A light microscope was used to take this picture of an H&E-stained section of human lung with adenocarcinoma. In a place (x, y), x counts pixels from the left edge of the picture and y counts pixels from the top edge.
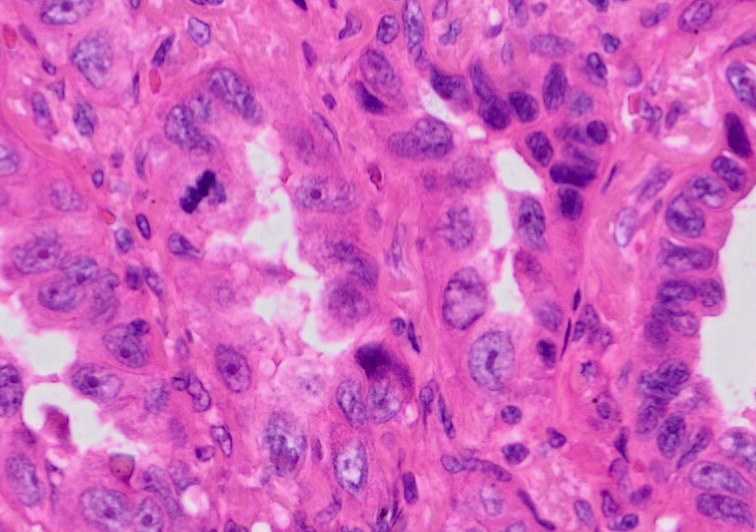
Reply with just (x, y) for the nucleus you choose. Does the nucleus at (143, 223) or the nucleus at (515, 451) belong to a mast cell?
(143, 223)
